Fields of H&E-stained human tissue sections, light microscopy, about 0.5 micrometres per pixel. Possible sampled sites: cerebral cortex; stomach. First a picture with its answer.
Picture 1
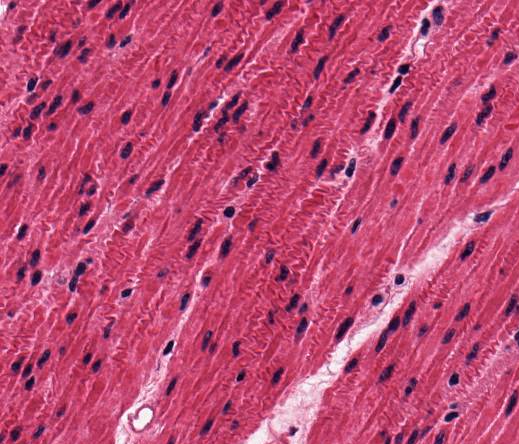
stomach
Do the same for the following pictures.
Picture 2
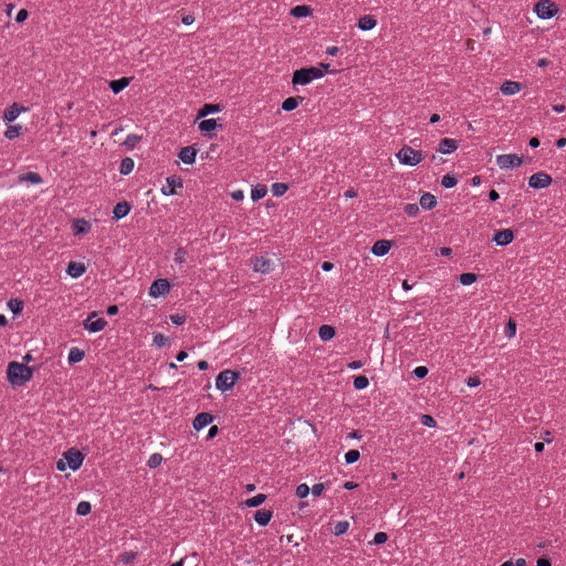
cerebral cortex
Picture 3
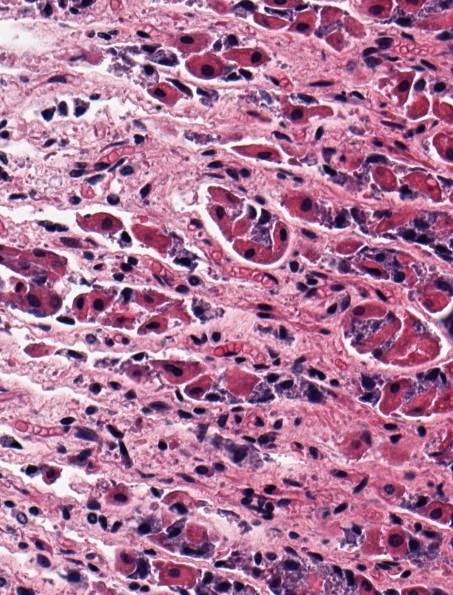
stomach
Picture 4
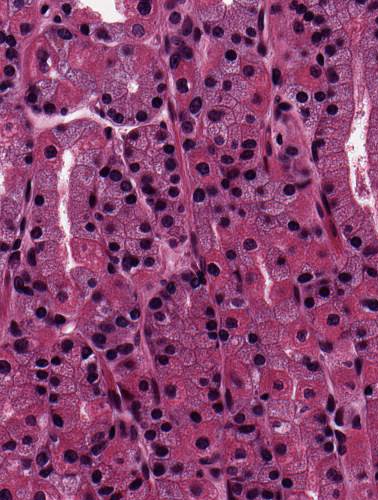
stomach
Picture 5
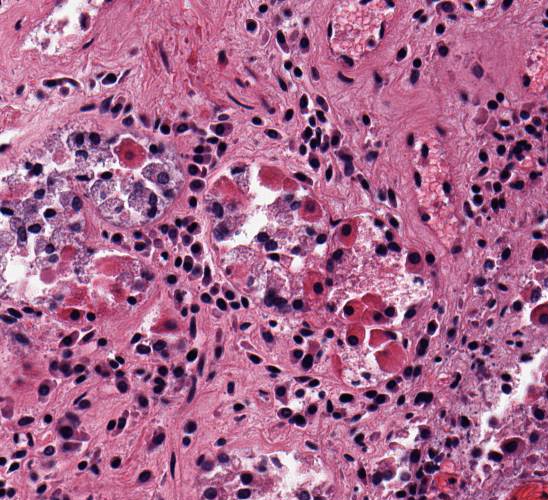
stomach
